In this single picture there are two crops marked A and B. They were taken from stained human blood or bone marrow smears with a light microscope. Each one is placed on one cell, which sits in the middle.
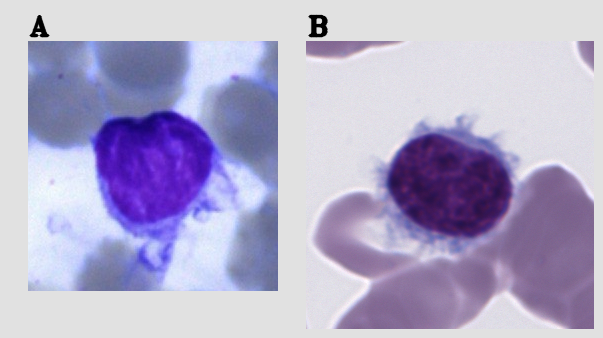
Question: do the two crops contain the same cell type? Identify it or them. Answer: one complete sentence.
Yes, the central cells in both of the crops are hairy cells.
